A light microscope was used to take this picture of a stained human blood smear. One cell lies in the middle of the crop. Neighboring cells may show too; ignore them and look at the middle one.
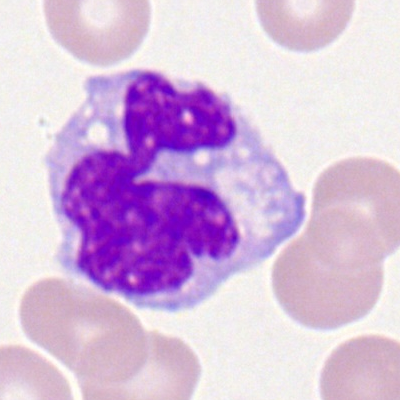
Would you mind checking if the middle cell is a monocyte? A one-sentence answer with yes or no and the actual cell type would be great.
Yes, that is right: the middle cell is a monocyte.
